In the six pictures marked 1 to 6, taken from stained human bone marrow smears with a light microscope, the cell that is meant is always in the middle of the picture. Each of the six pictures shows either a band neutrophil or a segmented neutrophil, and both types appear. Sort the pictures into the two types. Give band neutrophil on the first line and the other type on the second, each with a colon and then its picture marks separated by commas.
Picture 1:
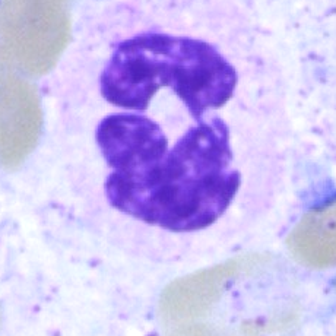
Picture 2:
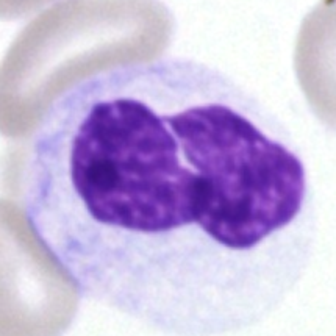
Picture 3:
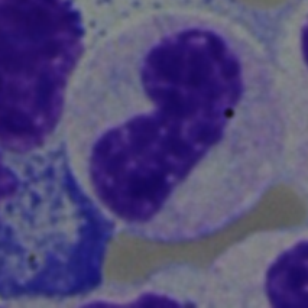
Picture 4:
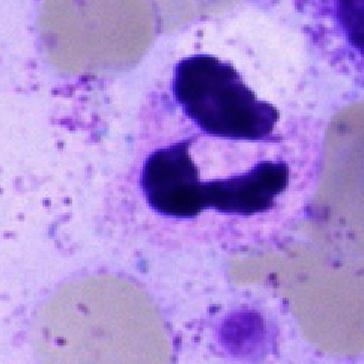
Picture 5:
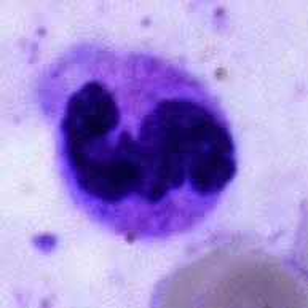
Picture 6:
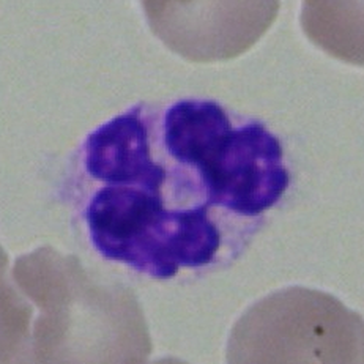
band neutrophil: 2, 3
segmented neutrophil: 1, 4, 5, 6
